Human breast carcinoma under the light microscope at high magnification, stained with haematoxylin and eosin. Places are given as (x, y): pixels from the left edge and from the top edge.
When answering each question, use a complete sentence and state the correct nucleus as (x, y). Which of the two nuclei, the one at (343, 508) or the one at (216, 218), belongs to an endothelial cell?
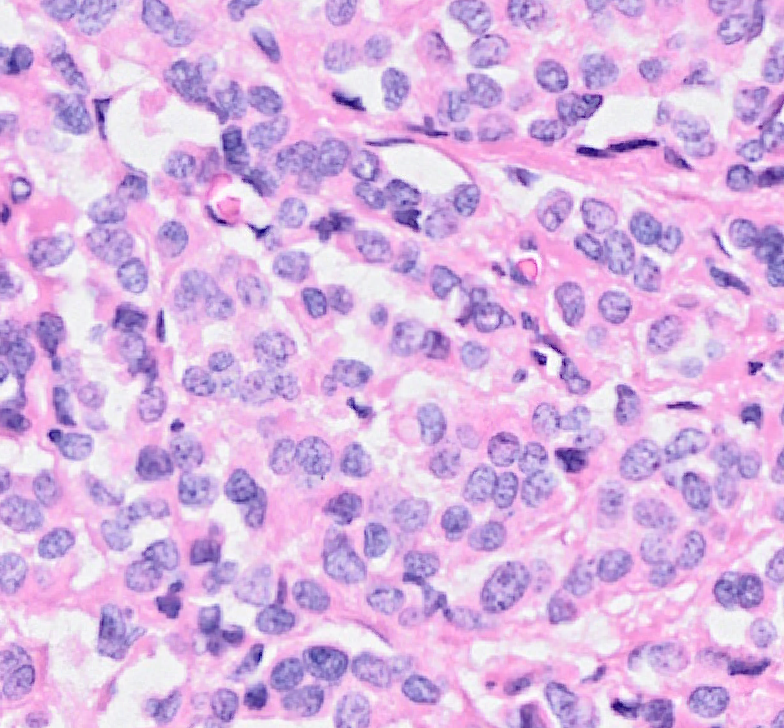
The nucleus that sits at (216, 218) is the nucleus of an endothelial cell.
